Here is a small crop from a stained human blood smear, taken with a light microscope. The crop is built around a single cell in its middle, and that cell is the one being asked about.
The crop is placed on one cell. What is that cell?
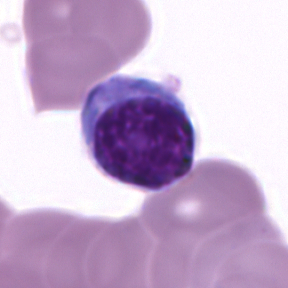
plasma cell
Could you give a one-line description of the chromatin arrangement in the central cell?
Just so you know, its chromatin is coarsely clumped.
